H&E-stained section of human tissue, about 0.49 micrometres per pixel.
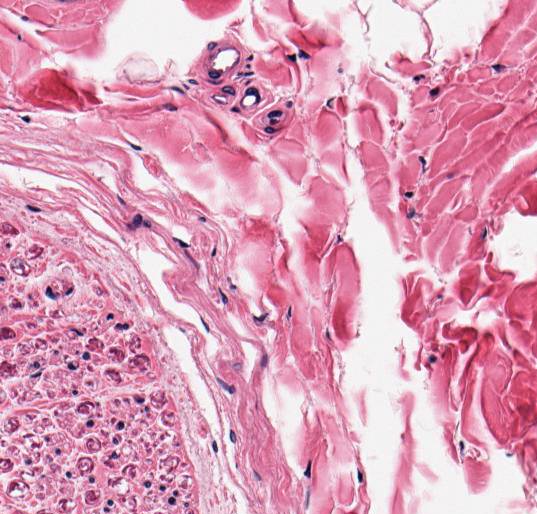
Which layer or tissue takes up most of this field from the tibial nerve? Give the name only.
epineurium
